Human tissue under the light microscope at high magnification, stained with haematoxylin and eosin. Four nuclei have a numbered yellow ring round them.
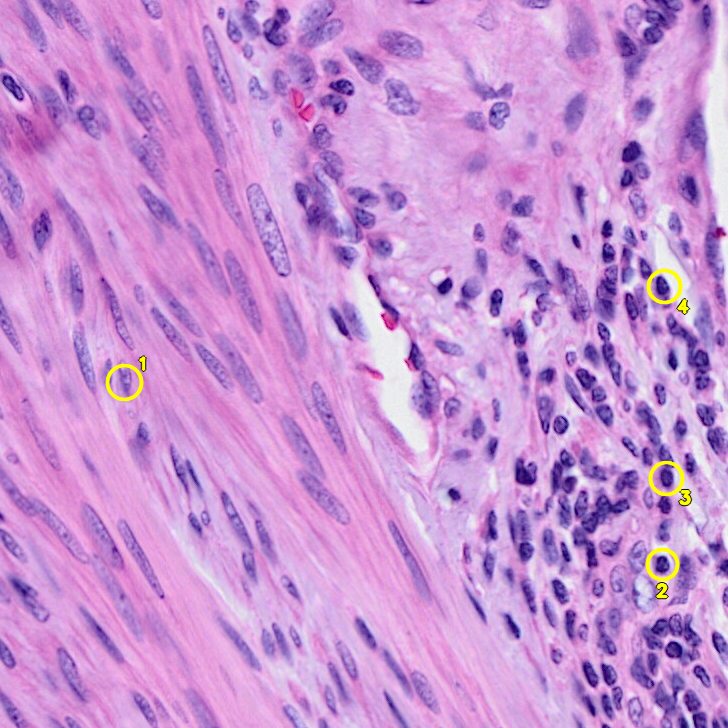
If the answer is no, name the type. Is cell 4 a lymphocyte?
Yes.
